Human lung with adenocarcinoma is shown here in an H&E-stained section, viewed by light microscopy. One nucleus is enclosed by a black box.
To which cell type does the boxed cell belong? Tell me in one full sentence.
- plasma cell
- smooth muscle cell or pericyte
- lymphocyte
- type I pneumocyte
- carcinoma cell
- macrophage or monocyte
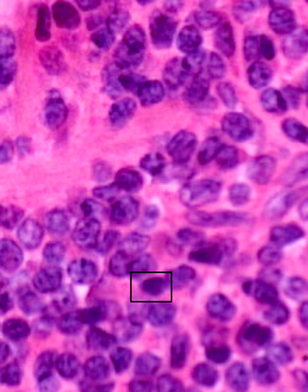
The category to which the boxed cell belongs is that of a lymphocyte.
